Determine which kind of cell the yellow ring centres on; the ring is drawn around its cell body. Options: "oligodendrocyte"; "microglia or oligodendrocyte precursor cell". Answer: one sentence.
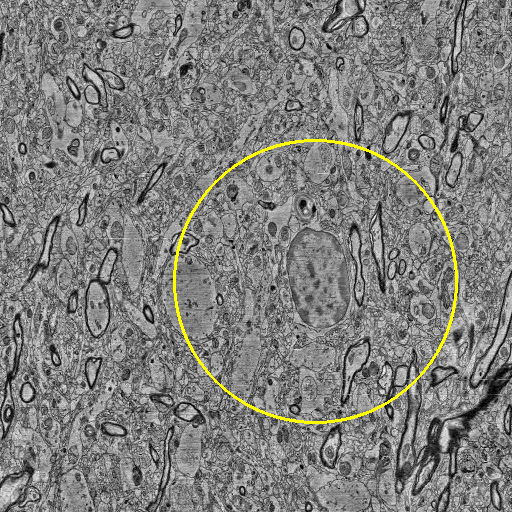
The ring centres on a microglial cell or oligodendrocyte precursor cell.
